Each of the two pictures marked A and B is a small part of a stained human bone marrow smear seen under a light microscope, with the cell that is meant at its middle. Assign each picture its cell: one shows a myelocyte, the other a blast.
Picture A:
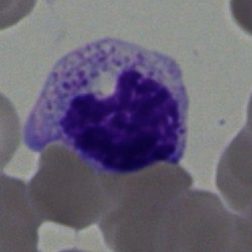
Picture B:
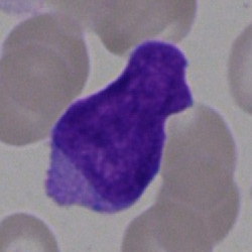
A: myelocyte
B: blast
